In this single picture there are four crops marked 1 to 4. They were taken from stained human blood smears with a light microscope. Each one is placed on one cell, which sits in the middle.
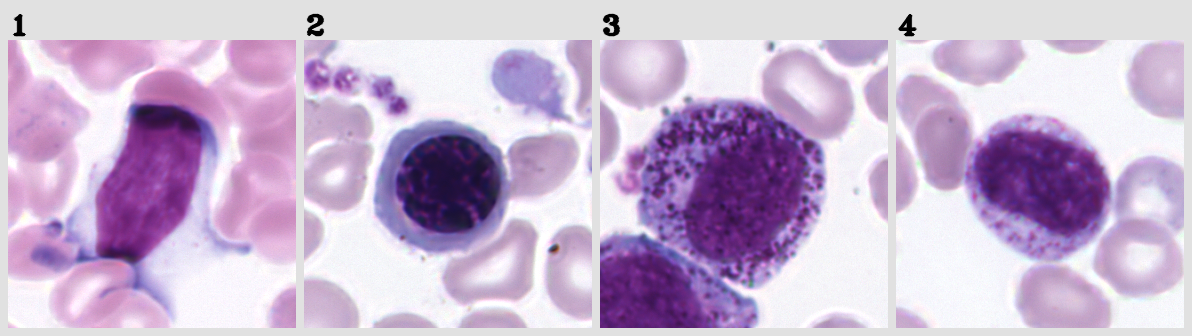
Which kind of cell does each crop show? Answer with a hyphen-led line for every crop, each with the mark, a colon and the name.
- 1: typical lymphocyte
- 2: normoblast
- 3: myelocyte
- 4: metamyelocyte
